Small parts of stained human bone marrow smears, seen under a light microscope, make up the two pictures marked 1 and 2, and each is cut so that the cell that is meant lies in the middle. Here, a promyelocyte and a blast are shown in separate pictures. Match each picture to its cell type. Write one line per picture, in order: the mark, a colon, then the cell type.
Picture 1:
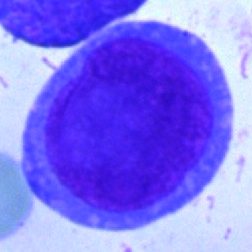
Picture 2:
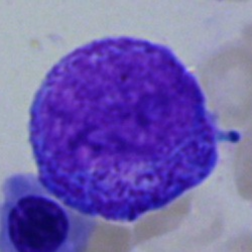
1: blast
2: promyelocyte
